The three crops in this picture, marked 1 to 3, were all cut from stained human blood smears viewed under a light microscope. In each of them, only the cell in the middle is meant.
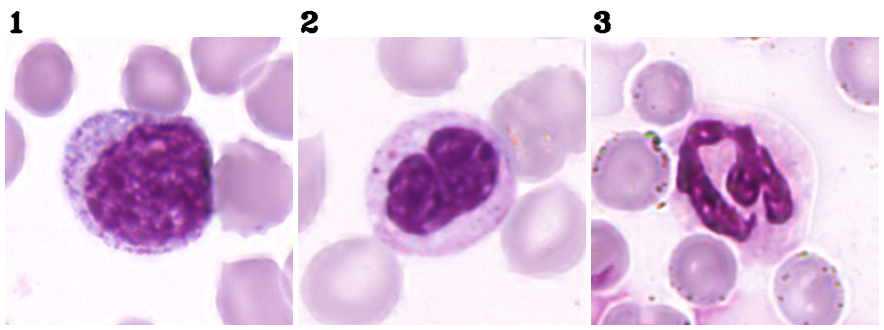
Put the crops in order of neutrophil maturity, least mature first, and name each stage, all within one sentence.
By increasing maturity, the cells should be ordered crop 1 (a metamyelocyte), crop 2 (a band neutrophil) and crop 3 (a segmented neutrophil).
